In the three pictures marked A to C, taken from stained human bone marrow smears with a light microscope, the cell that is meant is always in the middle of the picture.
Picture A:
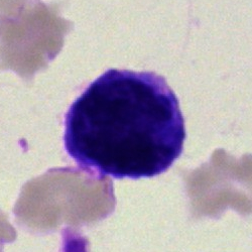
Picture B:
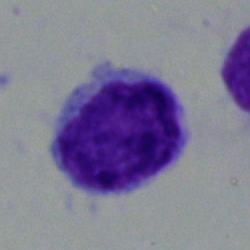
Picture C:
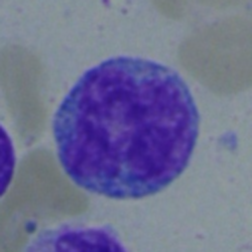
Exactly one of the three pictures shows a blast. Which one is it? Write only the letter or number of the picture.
A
